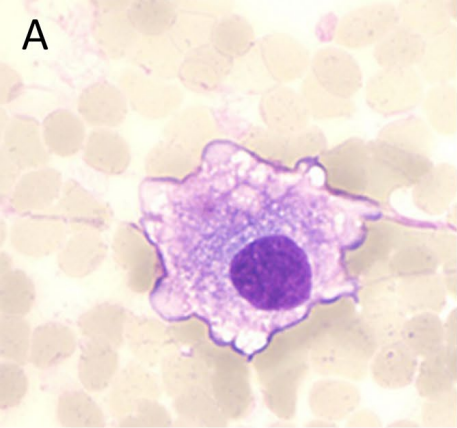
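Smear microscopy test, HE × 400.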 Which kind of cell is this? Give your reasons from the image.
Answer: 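Abundant pale violet cytoplasm with many small vacuoles and fine granules. Irregular cell border with projections. Much larger than the surrounding red cells.
Answer: macrophagocytes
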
